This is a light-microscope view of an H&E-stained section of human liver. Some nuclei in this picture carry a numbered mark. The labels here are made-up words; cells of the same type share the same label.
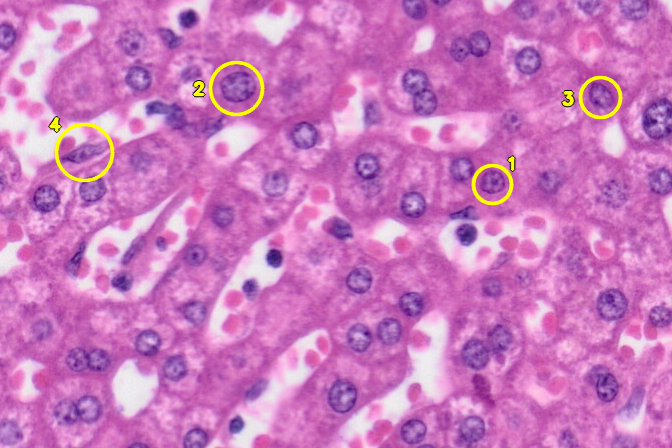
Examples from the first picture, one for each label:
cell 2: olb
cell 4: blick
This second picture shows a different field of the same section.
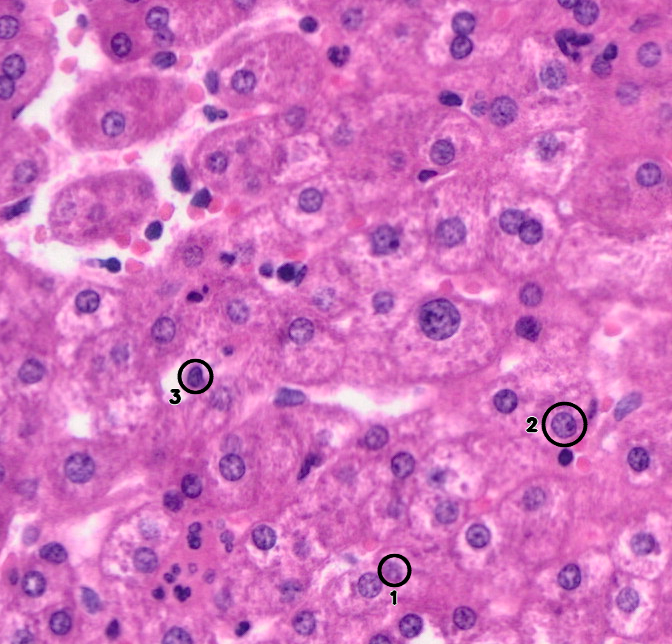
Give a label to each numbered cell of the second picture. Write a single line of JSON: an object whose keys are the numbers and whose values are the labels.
{"1": "olb", "2": "olb", "3": "blick"}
